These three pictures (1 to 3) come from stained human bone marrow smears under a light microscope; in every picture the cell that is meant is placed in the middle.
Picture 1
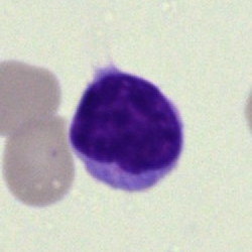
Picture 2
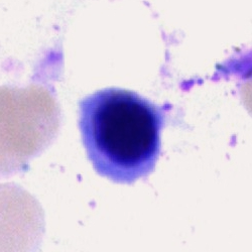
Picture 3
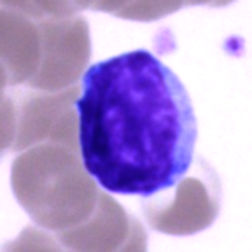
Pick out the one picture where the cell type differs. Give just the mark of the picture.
2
